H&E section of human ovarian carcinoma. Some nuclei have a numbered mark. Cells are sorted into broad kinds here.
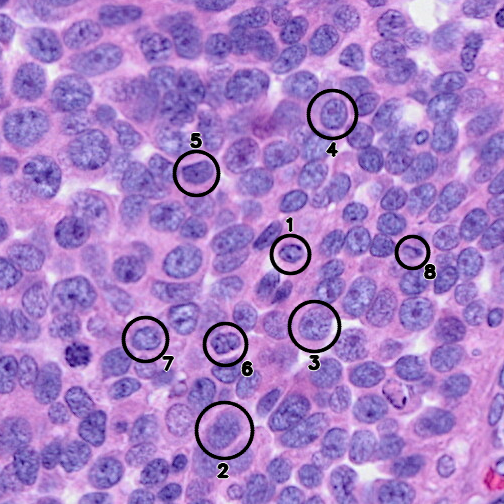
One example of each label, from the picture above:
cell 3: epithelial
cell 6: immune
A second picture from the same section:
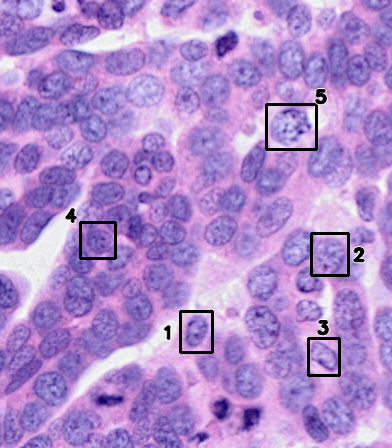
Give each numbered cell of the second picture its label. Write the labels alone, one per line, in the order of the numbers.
immune
epithelial
immune
epithelial
immune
